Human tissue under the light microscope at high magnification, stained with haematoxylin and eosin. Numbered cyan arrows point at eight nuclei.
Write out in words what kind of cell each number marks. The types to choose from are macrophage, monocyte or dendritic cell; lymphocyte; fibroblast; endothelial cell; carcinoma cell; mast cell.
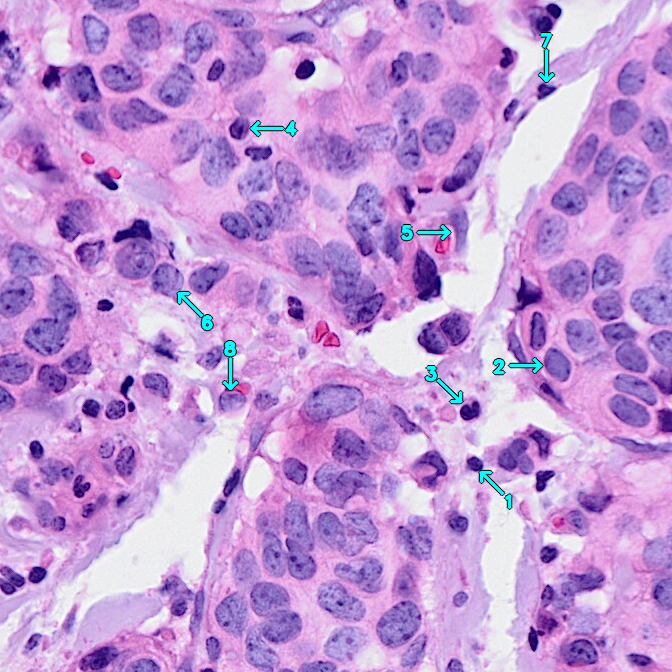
Cells 1, 3, 4 and 7 are lymphocytes. Cells 2 and 6 are carcinoma cells. Cells 5 and 8 are endothelial cells.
